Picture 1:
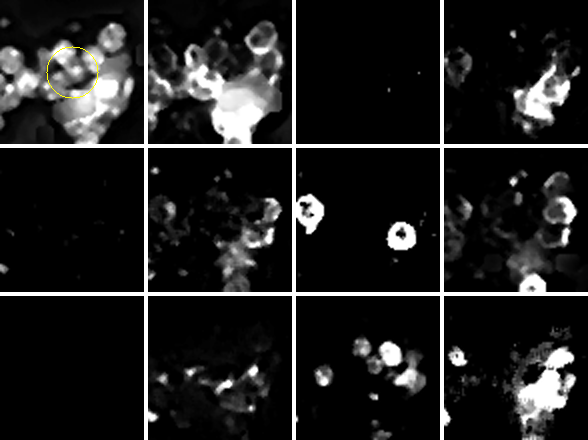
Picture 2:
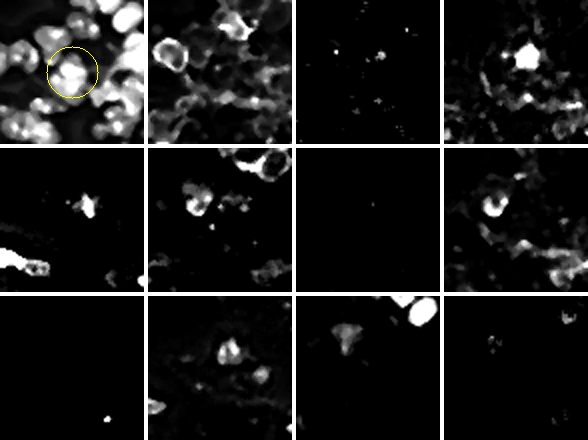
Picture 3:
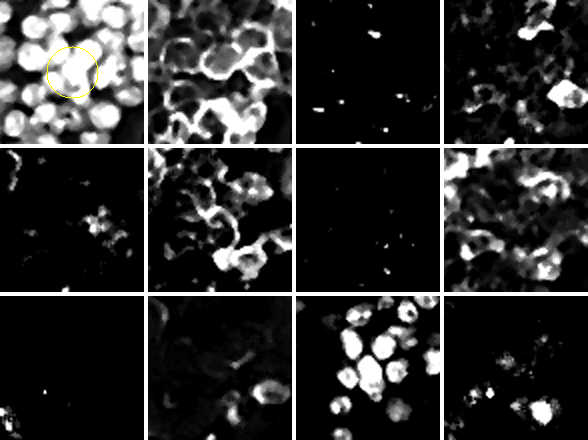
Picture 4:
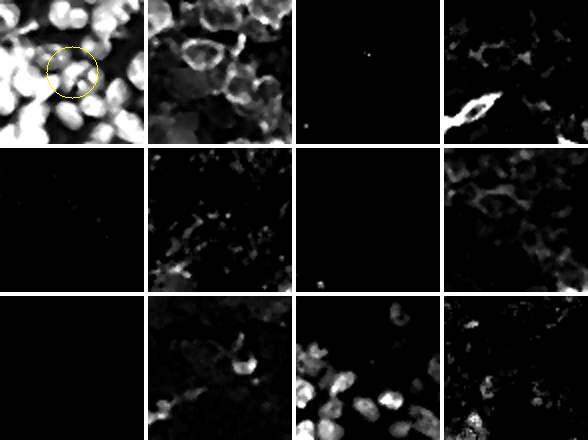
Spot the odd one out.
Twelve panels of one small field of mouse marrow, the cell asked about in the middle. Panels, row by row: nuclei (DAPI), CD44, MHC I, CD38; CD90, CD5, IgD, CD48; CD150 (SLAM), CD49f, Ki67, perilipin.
Picture 2 (a capillary endothelial cell among erythroblasts).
